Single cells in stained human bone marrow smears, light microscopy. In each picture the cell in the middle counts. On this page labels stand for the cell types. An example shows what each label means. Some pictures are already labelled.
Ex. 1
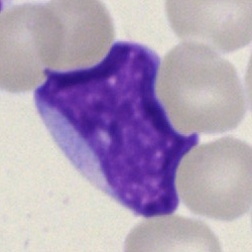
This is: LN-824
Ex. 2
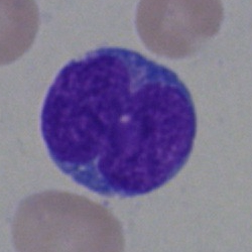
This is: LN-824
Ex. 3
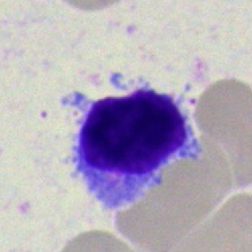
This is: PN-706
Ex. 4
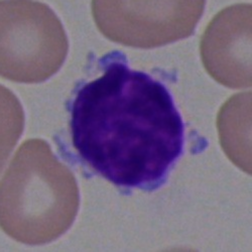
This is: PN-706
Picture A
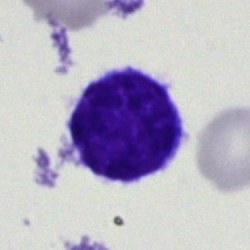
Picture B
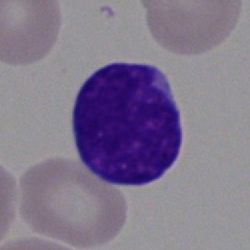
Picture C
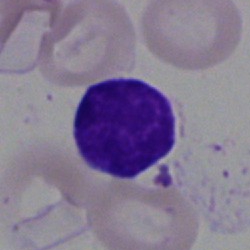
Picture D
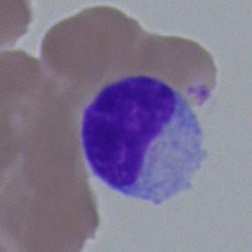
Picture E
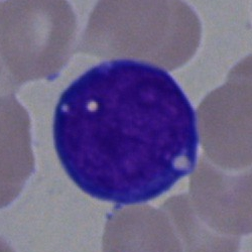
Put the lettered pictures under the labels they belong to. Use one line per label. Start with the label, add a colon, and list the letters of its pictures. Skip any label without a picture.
LN-824: B, E
PN-706: A, C, D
